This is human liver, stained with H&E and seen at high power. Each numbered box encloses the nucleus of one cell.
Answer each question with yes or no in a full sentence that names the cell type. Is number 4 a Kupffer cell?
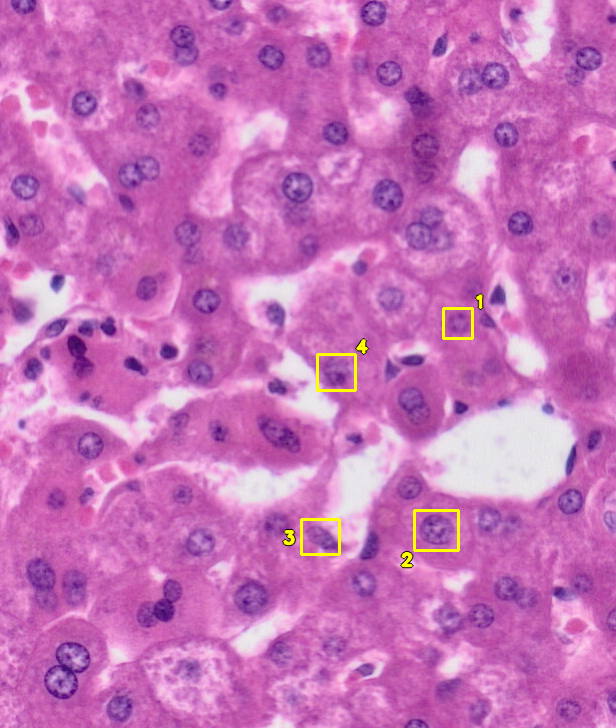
No, sorry, the cell labelled 4 is not a Kupffer cell; it is a hepatocyte.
